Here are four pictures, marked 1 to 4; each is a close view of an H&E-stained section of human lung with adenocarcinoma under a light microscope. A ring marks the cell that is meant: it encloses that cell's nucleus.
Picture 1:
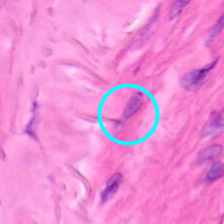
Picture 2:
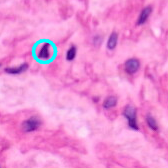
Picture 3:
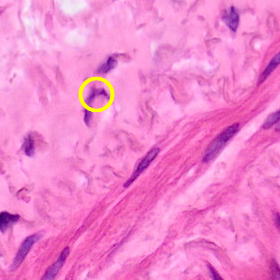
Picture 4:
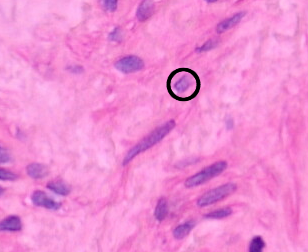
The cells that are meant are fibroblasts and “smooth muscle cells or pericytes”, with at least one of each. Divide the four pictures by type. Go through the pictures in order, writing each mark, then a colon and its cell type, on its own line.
1: smooth muscle cell or pericyte
2: smooth muscle cell or pericyte
3: fibroblast
4: smooth muscle cell or pericyte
